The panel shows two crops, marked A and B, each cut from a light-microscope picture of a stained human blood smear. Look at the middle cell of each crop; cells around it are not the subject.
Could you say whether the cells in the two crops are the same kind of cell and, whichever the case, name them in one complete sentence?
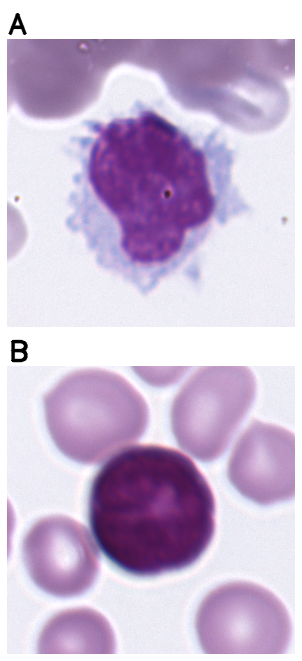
No, a hairy cell is the cell in crop A; a blast is the cell in crop B.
